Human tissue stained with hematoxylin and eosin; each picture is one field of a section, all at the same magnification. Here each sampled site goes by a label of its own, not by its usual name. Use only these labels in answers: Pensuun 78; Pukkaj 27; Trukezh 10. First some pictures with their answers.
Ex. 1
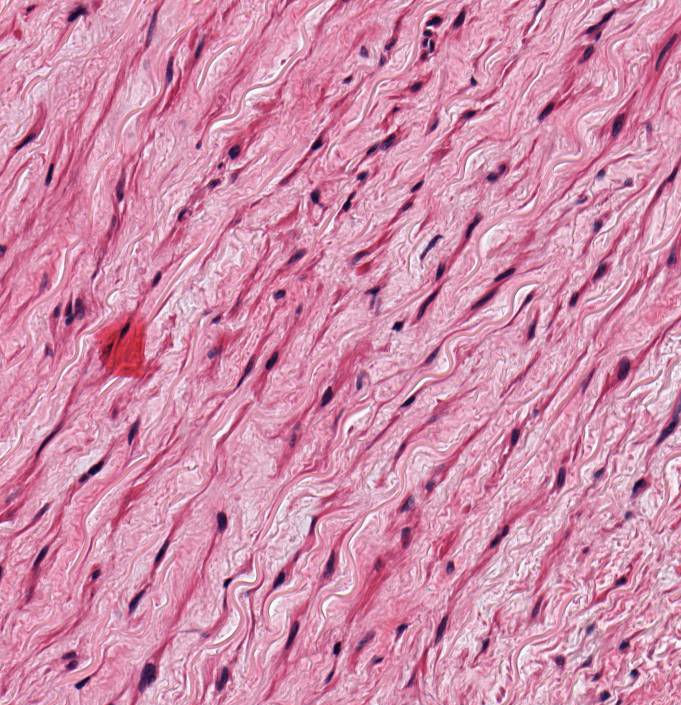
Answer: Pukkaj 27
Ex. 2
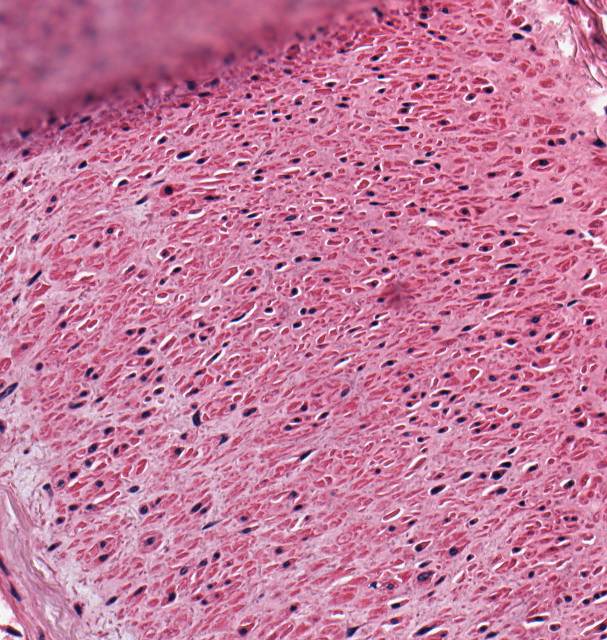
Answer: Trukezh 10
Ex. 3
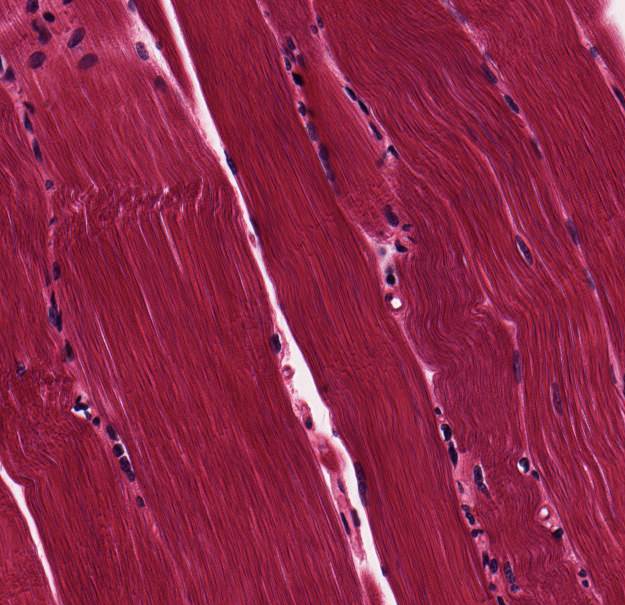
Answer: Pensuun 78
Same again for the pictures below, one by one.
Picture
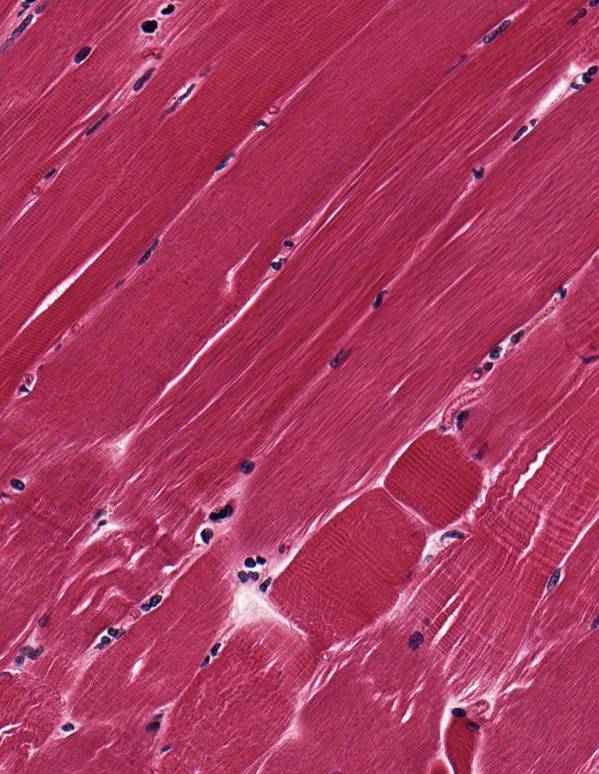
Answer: Pensuun 78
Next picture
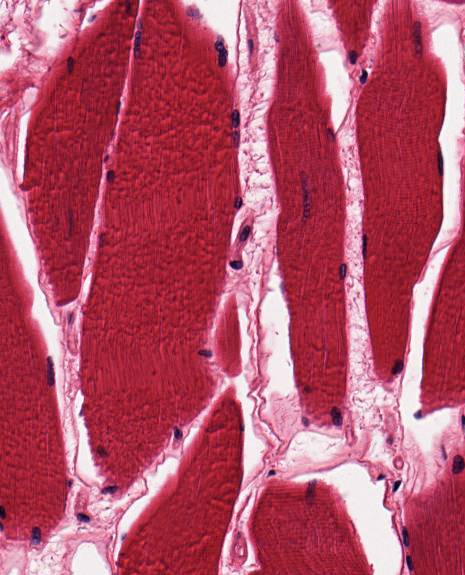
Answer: Pensuun 78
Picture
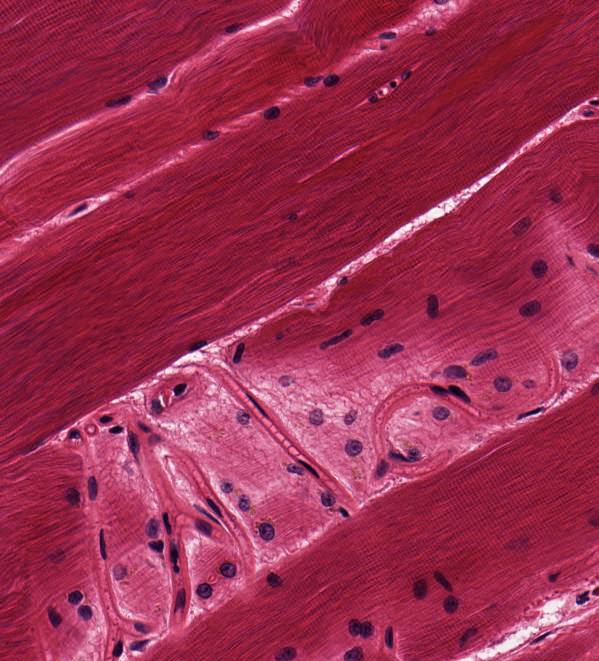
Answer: Pensuun 78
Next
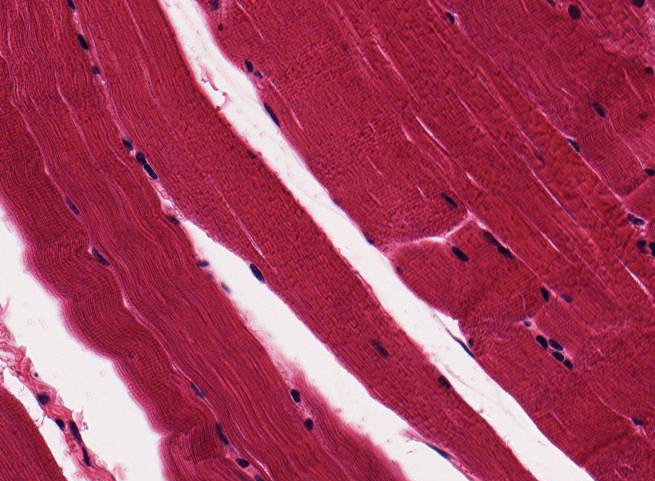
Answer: Pensuun 78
